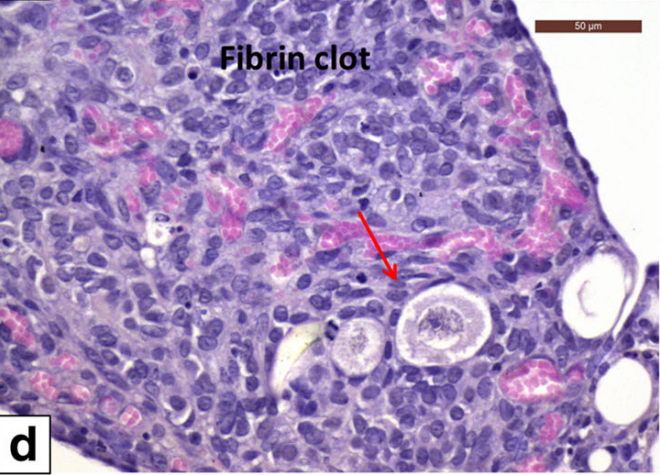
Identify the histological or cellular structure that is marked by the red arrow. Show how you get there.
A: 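Follicles. The arrow points to a round structure with a pale clear rim around a central cell. Similar round structures lie nearby in the densely cellular tissue.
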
